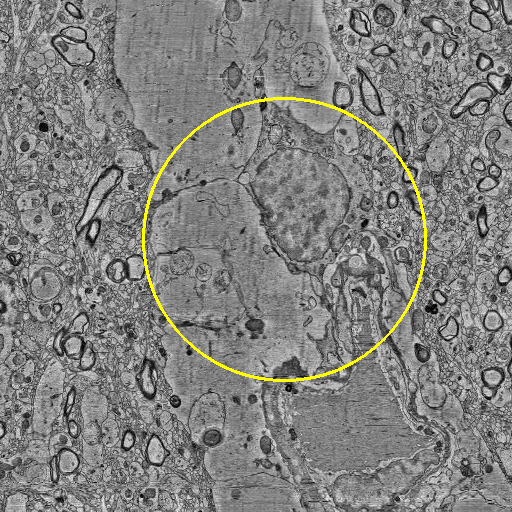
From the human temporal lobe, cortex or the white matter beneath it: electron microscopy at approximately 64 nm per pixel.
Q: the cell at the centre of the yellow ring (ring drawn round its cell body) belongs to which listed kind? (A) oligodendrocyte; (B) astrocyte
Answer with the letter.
A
